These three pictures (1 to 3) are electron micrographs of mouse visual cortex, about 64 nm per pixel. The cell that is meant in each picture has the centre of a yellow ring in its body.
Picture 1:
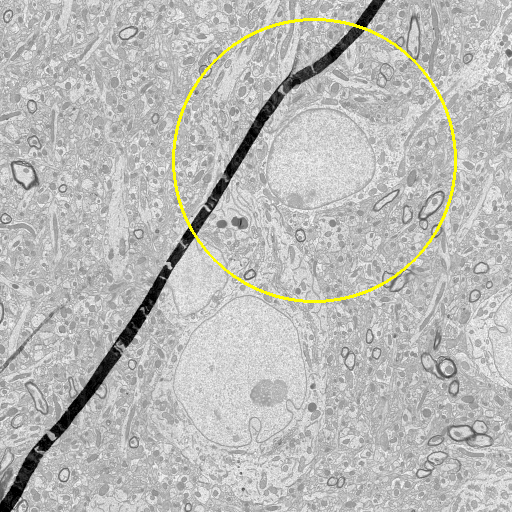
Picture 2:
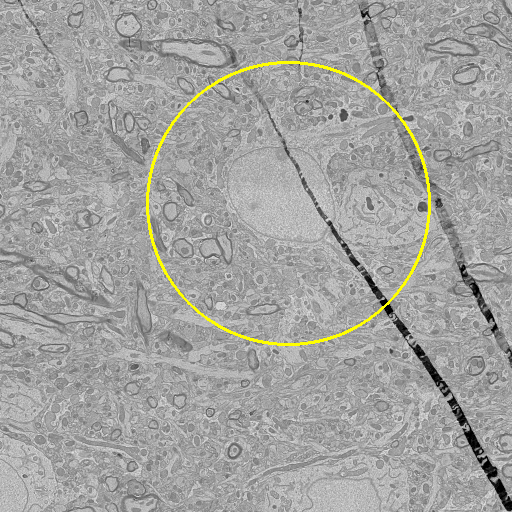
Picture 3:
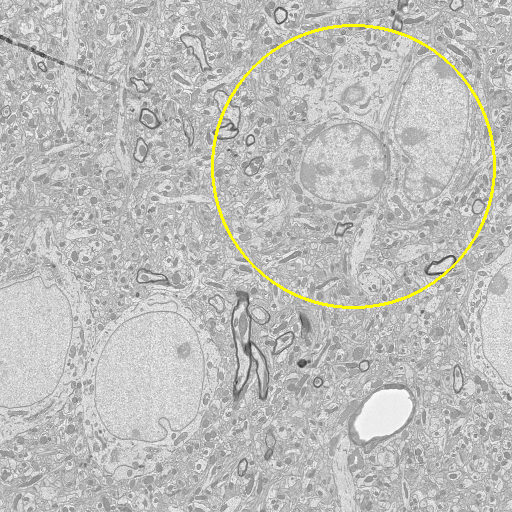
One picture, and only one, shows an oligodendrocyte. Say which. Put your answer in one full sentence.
The picture with the oligodendrocyte is 3.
